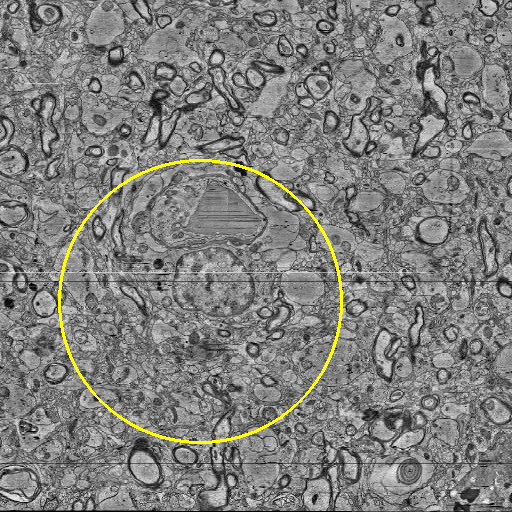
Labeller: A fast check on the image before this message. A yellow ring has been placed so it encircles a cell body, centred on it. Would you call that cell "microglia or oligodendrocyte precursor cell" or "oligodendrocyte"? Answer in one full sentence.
In this image, an oligodendrocyte is the cell on which the yellow ring is centred.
